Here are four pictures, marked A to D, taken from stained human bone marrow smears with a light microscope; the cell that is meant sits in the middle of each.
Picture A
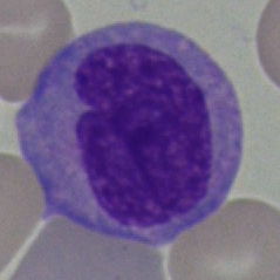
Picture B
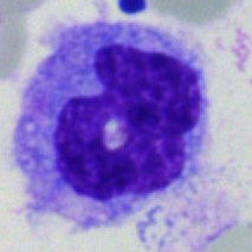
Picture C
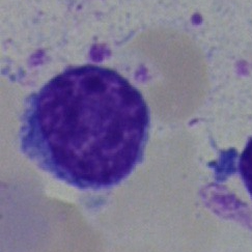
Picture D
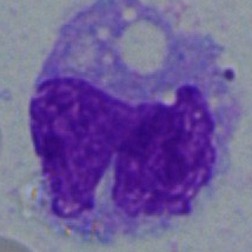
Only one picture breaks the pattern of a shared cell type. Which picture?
C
